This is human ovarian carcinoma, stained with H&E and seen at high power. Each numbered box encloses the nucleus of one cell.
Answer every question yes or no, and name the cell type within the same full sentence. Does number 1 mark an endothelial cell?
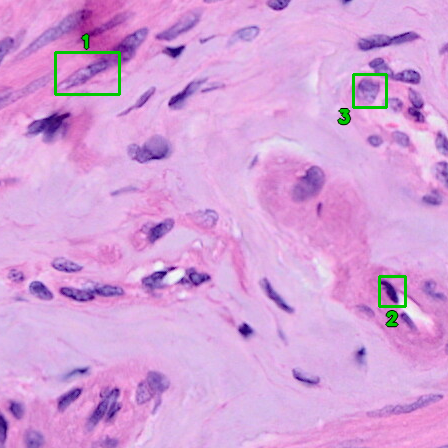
No, cell 1 is not an endothelial cell; a smooth muscle cell is correct.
